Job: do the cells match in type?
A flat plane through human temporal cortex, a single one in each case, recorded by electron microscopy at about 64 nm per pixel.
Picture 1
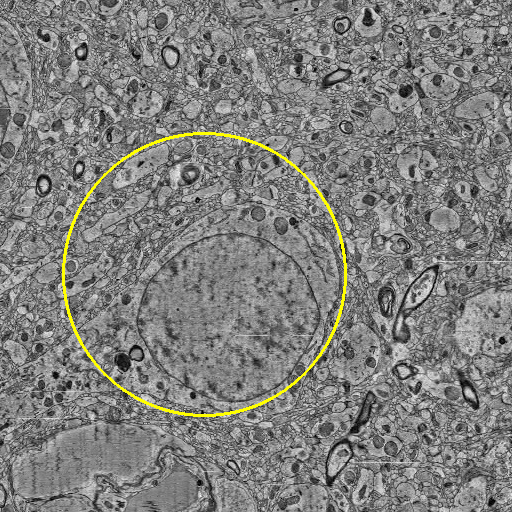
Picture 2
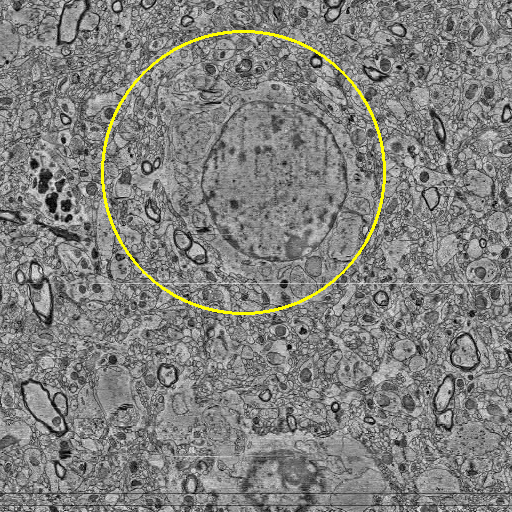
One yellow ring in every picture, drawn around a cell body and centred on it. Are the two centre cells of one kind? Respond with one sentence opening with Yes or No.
No, the ringed cells in the two pictures are of two separate kinds.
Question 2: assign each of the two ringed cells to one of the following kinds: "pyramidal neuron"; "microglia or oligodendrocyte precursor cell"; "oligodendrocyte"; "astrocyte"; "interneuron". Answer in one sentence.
The two cells are a pyramidal neuron in the first picture and an astrocyte in the second.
